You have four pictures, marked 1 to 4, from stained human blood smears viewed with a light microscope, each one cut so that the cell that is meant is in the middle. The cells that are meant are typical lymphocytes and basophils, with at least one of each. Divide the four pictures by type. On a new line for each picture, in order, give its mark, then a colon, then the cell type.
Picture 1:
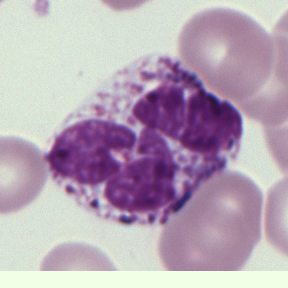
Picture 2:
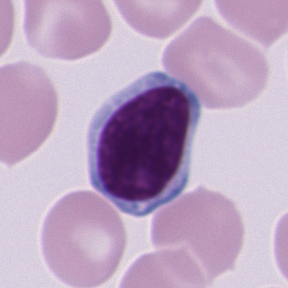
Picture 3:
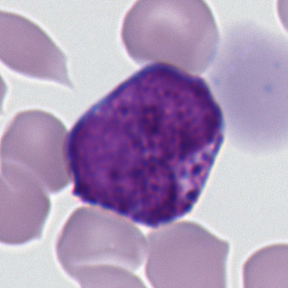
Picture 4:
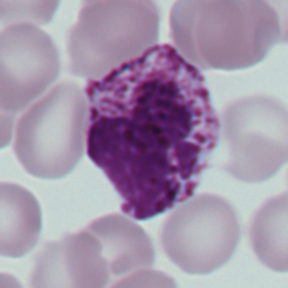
1: basophil
2: typical lymphocyte
3: basophil
4: basophil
